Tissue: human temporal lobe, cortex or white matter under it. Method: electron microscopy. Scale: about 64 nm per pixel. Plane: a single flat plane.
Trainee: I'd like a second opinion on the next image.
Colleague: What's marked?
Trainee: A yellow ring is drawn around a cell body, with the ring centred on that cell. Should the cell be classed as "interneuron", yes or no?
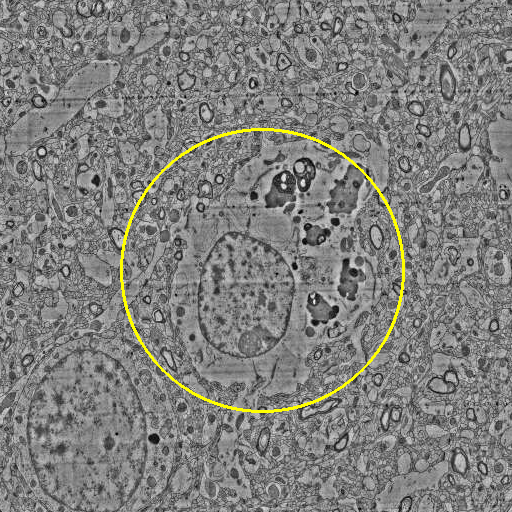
No, it should be classed as another kind.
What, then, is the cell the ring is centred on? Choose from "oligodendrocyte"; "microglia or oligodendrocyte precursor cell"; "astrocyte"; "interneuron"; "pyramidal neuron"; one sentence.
It is an astrocyte at the centre of the ring.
